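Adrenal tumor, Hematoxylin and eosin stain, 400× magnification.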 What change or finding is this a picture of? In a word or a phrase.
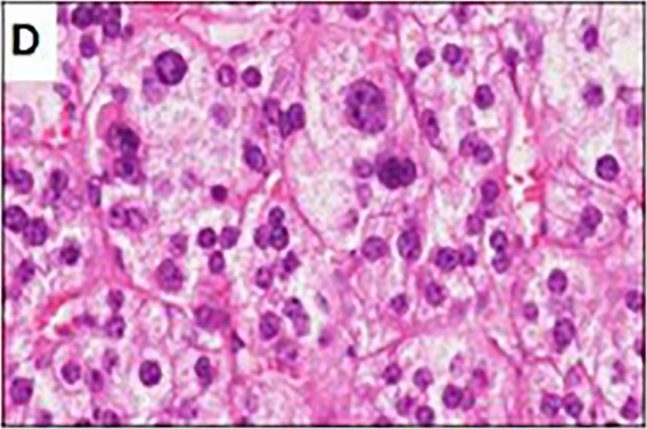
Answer: Variation in nuclear size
